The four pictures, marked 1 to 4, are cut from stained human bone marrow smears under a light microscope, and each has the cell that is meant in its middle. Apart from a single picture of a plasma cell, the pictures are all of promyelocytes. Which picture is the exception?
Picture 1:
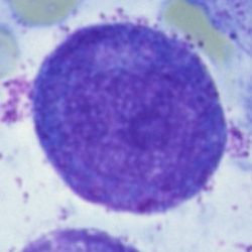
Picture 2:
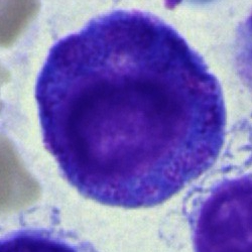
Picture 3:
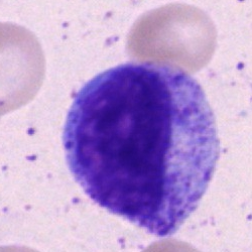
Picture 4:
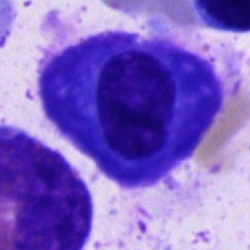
4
